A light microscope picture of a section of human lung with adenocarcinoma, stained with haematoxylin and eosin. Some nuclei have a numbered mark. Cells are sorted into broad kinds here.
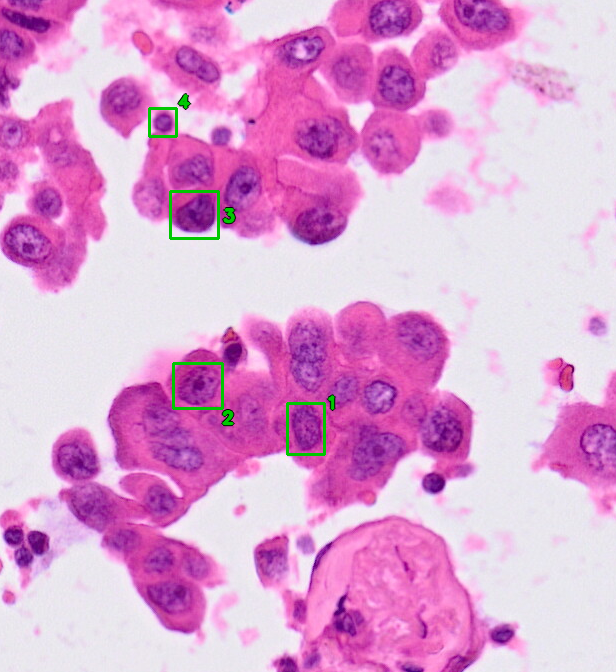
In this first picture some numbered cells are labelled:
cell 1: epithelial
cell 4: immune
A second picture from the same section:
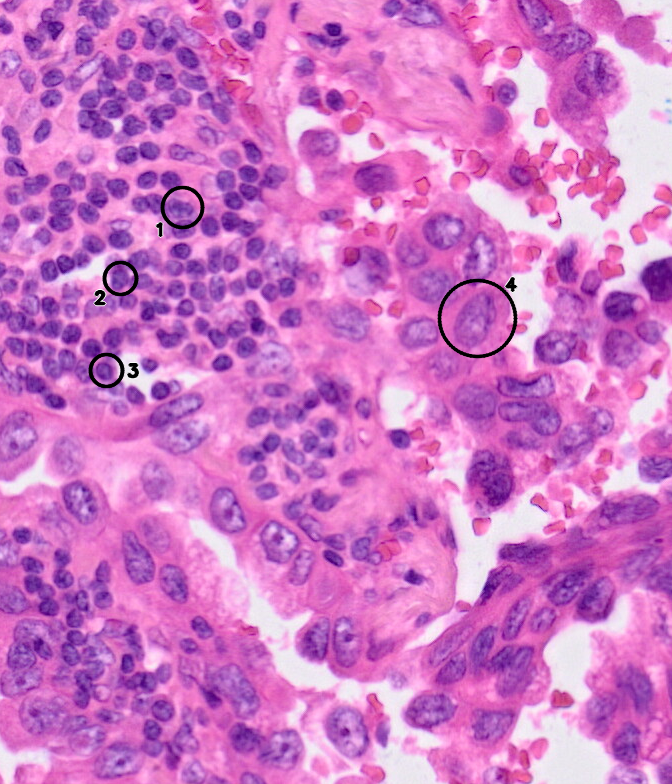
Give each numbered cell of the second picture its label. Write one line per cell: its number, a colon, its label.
1: immune
2: immune
3: immune
4: epithelial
